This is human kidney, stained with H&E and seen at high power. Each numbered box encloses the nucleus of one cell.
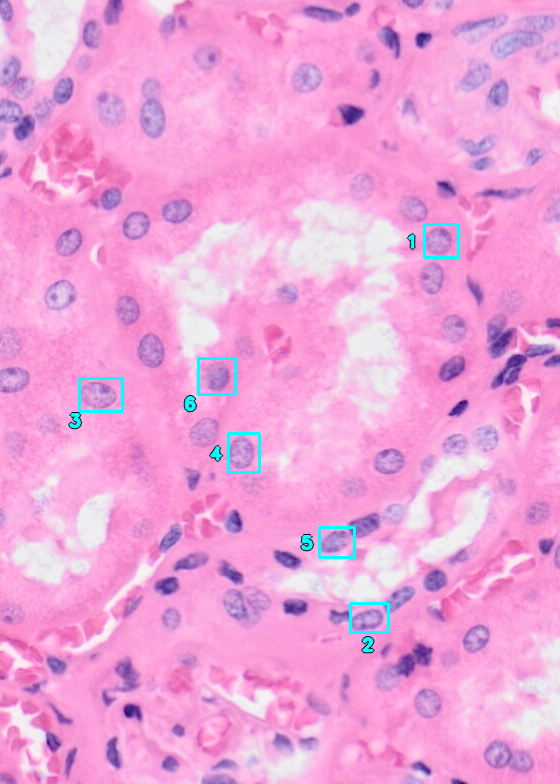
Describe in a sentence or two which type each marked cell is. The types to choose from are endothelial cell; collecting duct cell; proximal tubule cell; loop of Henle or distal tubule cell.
Cells 1, 3, 4 and 6 are proximal tubule cells. Cells 2 and 5 are collecting duct cells.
